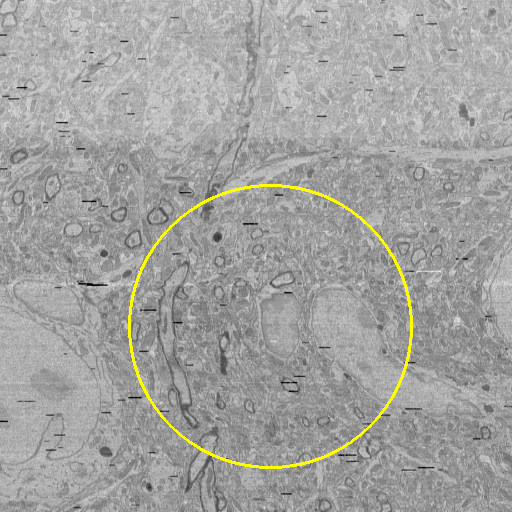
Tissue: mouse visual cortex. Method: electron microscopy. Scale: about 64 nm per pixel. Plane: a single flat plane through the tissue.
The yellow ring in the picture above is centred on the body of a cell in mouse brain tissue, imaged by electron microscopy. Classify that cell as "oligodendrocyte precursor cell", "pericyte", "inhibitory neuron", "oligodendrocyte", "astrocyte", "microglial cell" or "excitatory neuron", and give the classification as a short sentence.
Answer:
The cell in the middle of the ring is a microglial cell.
